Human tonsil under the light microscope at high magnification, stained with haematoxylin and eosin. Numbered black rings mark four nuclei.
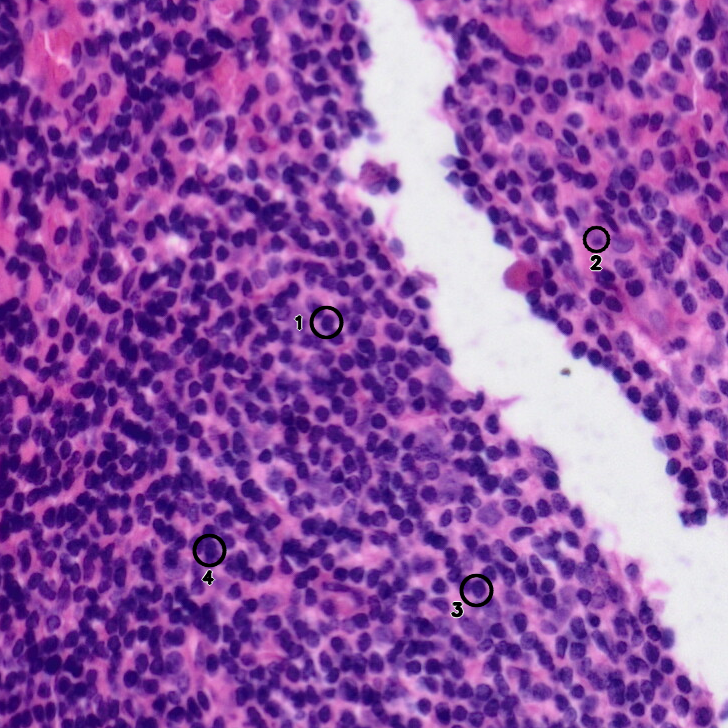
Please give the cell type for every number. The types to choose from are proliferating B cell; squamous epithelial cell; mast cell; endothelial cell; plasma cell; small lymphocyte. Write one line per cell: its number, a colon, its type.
1: small lymphocyte
2: endothelial cell
3: small lymphocyte
4: small lymphocyte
